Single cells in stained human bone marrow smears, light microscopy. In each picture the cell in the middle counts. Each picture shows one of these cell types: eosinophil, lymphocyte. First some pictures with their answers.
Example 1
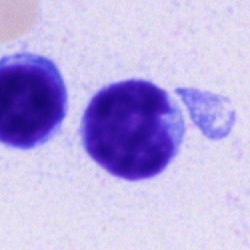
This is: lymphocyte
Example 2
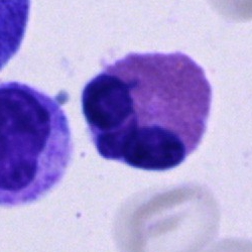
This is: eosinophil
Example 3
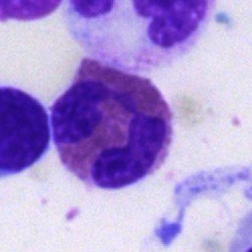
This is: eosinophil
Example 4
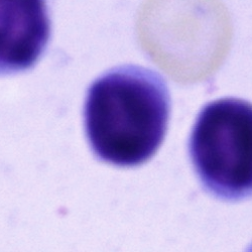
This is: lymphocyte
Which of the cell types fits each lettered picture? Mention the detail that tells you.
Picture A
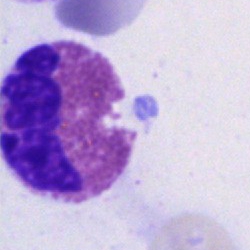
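Answer: eosinophil. Abundant pinkish-lilac cytoplasm fills the right part of the cell.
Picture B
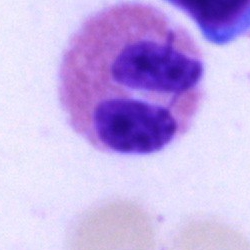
Answer: eosinophil. The cytoplasm is plentiful and pink.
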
